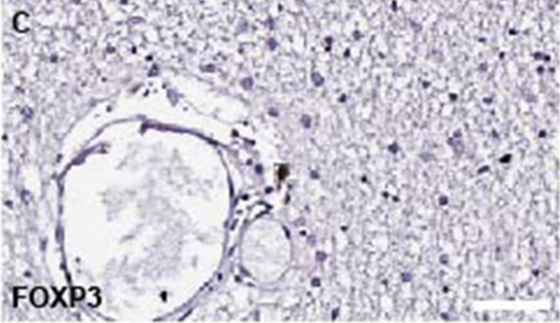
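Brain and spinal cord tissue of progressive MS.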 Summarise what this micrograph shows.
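Central nervous tissue is seen as a pale, finely vacuolated, spongy parenchyma with scattered small blue nuclei lying singly at intervals. At the lower left a large blood vessel is cut in cross section, its thin wall outlined in blue and its lumen holding pale, loose, flocculent material; a smaller round vessel lies beside it. A few elongated nuclei line the vessel walls. A single cell with a dark brown stained nucleus sits at the outer edge of the large vessel wall, among the surrounding cells.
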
